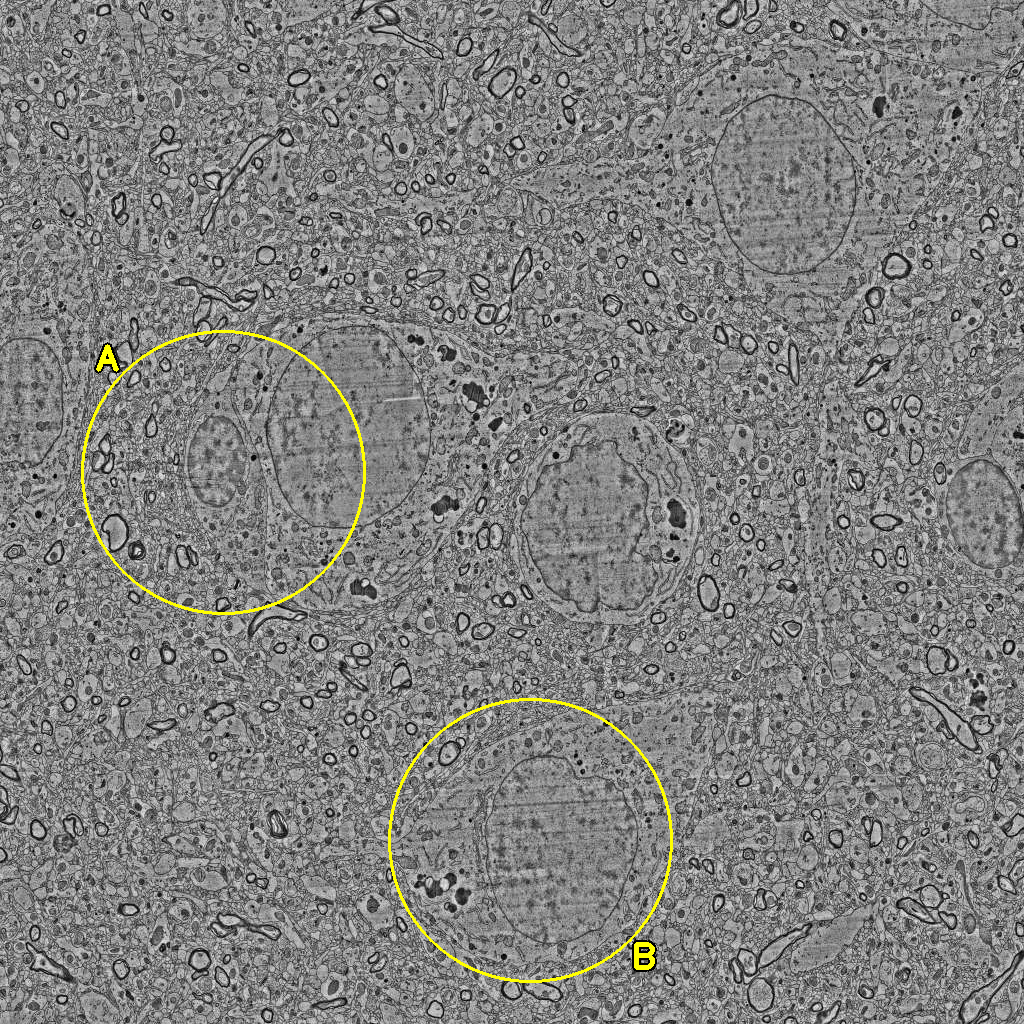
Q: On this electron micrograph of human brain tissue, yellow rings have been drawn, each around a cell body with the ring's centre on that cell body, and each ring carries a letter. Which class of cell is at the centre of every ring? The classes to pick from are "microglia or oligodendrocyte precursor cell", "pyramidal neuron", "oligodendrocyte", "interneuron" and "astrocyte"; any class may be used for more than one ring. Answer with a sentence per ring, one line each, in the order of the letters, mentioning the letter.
The centre of ring A is occupied by an oligodendrocyte.
The centre of ring B is occupied by a pyramidal neuron.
